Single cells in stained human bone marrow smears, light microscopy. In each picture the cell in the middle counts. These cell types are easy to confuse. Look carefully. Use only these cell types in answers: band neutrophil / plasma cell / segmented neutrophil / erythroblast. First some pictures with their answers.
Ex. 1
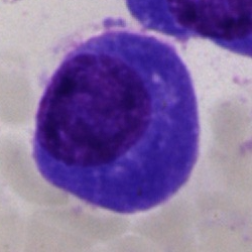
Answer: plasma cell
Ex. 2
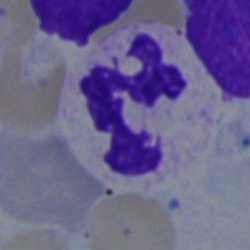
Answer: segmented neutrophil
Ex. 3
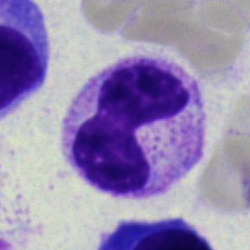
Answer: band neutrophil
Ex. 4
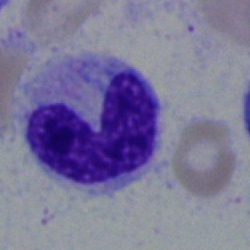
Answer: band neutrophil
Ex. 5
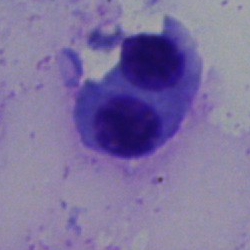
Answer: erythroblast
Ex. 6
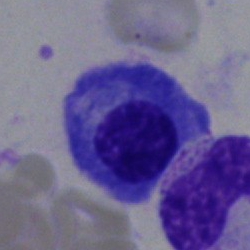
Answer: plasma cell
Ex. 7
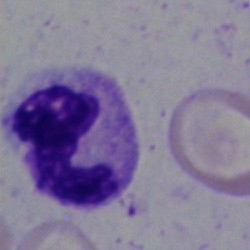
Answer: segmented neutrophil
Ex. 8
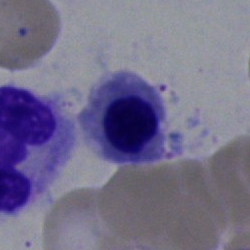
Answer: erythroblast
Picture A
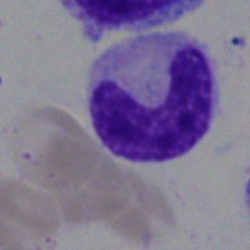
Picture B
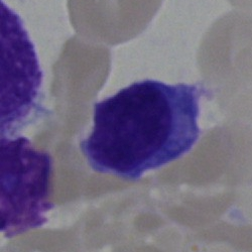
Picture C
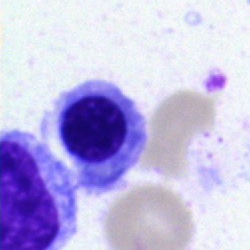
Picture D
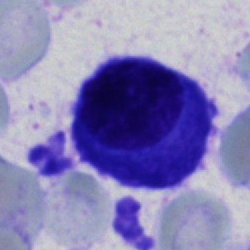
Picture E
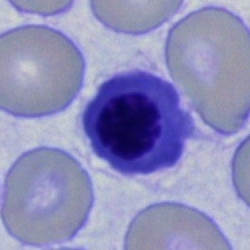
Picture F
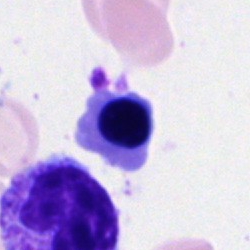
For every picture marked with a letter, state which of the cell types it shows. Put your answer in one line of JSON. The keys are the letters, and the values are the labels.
{"A": "band neutrophil", "B": "plasma cell", "C": "erythroblast", "D": "plasma cell", "E": "erythroblast", "F": "erythroblast"}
